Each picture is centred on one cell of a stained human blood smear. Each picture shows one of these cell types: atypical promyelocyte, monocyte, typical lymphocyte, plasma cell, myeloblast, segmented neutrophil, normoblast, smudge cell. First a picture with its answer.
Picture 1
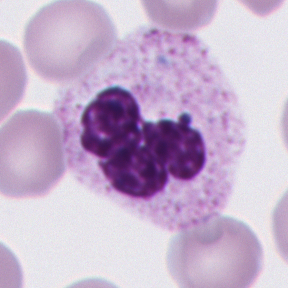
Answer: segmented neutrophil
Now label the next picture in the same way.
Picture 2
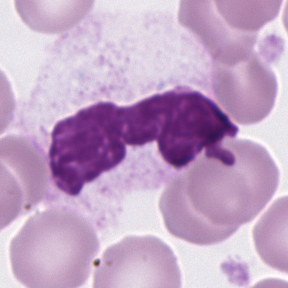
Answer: segmented neutrophil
